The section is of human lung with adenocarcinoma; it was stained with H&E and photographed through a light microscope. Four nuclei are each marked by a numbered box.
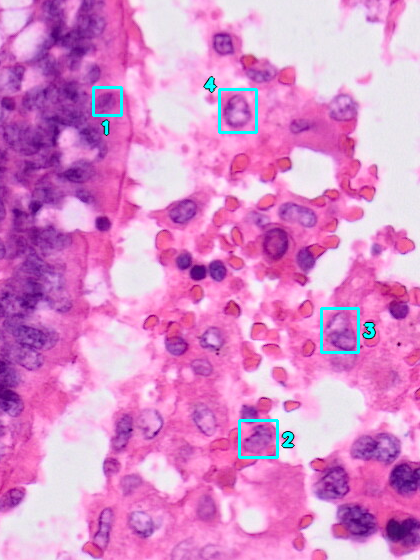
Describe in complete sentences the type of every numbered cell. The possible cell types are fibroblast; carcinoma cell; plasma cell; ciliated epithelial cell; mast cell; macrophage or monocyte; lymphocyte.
Cell 1 is a ciliated epithelial cell. Cells 2, 3 and 4 are macrophages or monocytes.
